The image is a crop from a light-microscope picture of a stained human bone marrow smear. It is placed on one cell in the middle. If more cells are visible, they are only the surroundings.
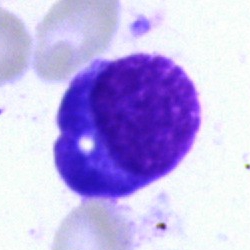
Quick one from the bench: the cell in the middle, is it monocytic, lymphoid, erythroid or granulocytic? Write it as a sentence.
Originating in the lymphoid lineage is the cell at the center of the crop.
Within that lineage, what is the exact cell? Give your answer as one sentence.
On this slide crop, the central cell is a plasma cell.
